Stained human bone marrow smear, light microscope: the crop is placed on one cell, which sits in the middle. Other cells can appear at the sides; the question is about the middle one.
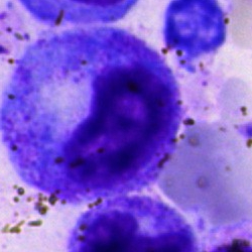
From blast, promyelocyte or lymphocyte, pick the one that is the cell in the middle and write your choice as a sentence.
In this smear crop, the middle cell is a promyelocyte.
